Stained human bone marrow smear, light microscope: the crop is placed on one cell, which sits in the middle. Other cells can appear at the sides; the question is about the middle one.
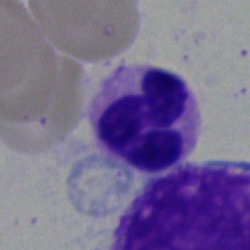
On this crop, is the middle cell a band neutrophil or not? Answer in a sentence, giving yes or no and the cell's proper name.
No, instead of being a band neutrophil, the middle cell is a segmented neutrophil.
